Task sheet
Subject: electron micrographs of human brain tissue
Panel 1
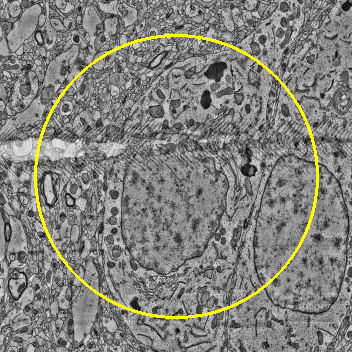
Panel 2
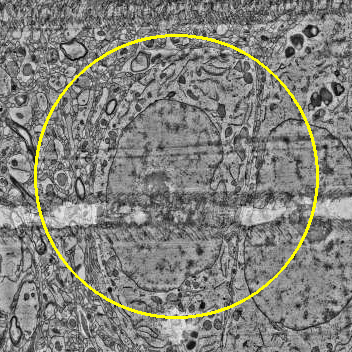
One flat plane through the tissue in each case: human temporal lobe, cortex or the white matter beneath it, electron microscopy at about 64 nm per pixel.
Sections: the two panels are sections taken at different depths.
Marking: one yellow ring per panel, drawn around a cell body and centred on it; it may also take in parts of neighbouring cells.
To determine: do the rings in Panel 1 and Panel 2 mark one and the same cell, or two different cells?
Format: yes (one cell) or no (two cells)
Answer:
yes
